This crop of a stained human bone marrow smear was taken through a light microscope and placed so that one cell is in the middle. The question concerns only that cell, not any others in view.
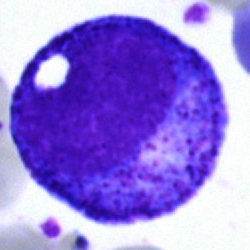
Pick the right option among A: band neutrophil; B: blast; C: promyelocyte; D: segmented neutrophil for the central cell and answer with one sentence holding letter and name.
Answer key: option C, the middle cell being a promyelocyte.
